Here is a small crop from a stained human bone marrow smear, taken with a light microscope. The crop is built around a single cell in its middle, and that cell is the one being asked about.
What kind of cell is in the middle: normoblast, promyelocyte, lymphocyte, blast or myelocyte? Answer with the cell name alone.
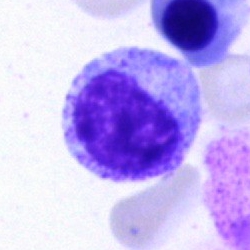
myelocyte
